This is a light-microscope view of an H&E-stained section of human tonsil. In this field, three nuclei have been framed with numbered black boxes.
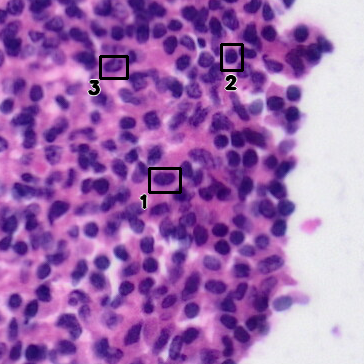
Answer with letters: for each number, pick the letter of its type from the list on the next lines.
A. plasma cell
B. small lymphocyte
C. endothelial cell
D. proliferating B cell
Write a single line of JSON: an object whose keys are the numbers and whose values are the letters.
{"1": "A", "2": "B", "3": "A"}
